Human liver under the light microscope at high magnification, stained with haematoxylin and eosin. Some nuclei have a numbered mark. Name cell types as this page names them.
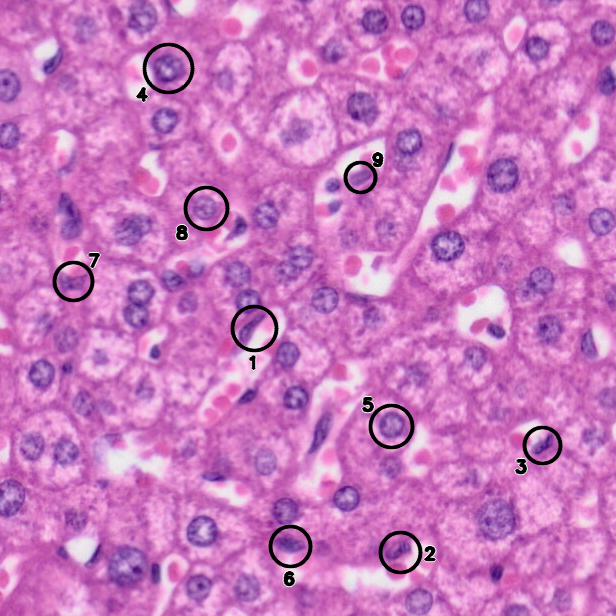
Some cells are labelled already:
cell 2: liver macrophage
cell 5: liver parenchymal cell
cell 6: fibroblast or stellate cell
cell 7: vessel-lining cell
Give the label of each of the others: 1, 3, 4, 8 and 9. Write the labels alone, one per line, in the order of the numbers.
liver macrophage
vessel-lining cell
liver parenchymal cell
liver parenchymal cell
liver macrophage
